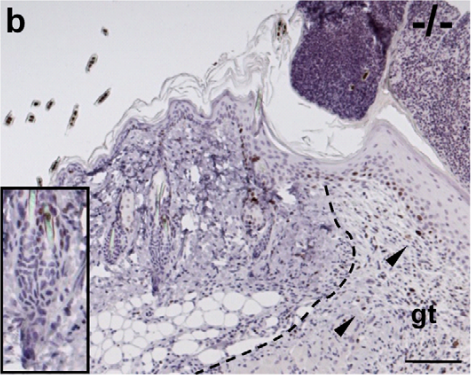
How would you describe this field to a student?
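Skin at a wound edge, with dermis containing hair follicles and a patch of fat cells, seen as large empty rounded spaces, on the left. A dashed line separates this dermis from granulation tissue on the right, a dense tissue of many small cells with oval nuclei, where arrowheads point to scattered brown nuclei. A thick crust of densely packed dark blue cells lies on the surface at the top right. The inset shows a hair follicle at high magnification, whose closely packed epithelial cells have mostly blue-purple nuclei with little brown.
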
